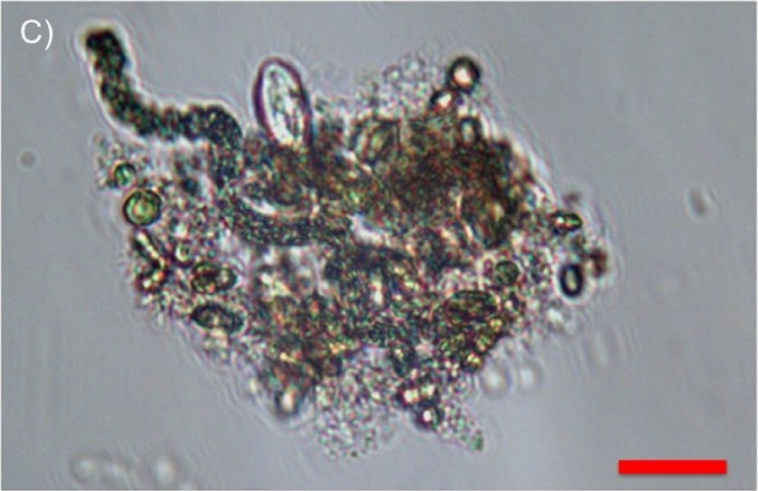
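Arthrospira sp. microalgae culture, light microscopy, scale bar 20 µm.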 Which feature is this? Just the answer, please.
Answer: Cell aggregates.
